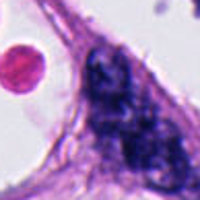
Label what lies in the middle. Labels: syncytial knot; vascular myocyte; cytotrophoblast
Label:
syncytial knot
